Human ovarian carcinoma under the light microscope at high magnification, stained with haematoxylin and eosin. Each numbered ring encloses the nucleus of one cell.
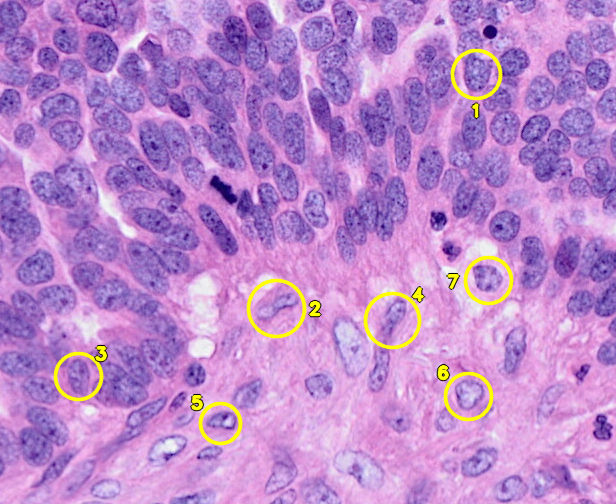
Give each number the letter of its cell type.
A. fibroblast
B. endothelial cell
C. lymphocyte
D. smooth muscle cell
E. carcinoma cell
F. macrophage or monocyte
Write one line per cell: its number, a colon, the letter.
1: E
2: A
3: E
4: A
5: A
6: A
7: F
